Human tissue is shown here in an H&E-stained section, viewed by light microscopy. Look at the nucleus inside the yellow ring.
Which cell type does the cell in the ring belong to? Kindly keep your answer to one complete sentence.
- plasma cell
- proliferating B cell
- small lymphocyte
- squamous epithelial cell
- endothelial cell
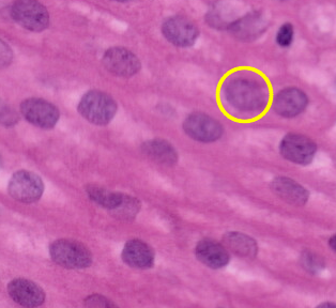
Within this tissue, the cell in the ring is a squamous epithelial cell.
